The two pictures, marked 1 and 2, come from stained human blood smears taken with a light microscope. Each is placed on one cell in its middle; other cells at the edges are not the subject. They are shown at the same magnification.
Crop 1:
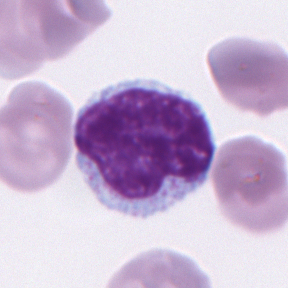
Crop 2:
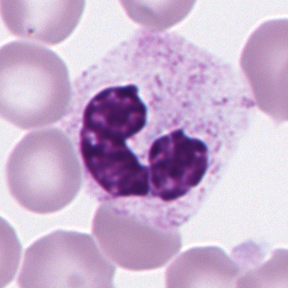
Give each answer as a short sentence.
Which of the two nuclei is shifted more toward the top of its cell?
The nucleus in crop 1 lies further toward the top of its cell.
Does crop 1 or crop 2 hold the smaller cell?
The cell in crop 1 is smaller; the one in crop 2 has about 1.5 times its area.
